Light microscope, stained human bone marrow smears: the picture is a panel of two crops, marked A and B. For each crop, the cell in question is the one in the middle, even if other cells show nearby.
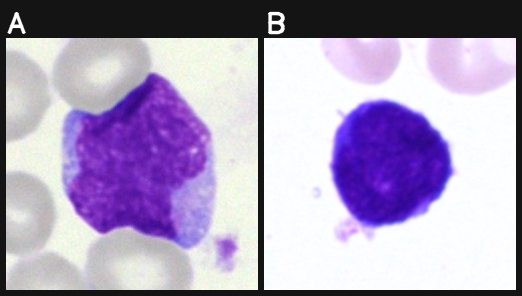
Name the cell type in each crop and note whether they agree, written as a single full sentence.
Yes, what both crops show at their centres are blasts.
